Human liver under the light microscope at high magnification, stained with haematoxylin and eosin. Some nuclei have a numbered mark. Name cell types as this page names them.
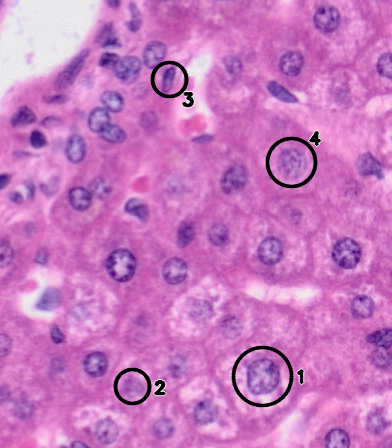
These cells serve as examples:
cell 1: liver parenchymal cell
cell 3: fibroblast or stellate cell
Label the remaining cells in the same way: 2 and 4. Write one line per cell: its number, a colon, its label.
2: liver parenchymal cell
4: liver parenchymal cell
